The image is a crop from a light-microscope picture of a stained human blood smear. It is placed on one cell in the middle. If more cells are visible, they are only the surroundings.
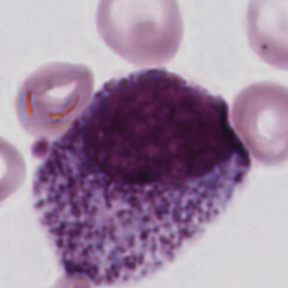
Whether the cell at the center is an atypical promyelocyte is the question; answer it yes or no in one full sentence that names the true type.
No, the middle of the crop holds a myelocyte, not an atypical promyelocyte.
